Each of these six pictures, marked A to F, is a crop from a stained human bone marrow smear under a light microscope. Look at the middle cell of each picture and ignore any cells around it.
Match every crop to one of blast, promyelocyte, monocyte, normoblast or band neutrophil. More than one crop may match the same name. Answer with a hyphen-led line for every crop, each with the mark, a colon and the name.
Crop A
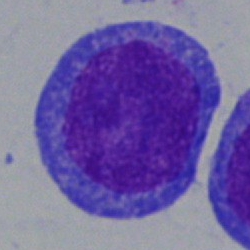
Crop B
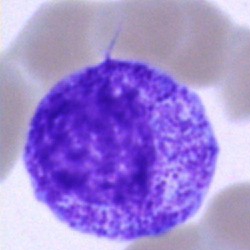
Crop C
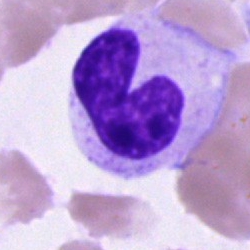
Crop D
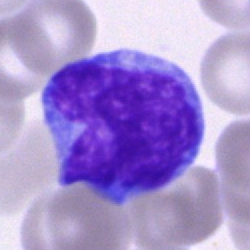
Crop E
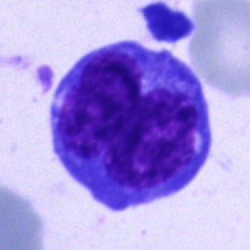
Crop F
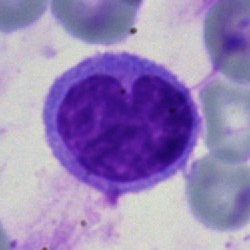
- A: blast
- B: promyelocyte
- C: band neutrophil
- D: monocyte
- E: blast
- F: monocyte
